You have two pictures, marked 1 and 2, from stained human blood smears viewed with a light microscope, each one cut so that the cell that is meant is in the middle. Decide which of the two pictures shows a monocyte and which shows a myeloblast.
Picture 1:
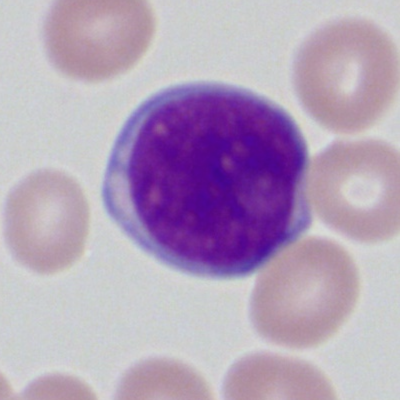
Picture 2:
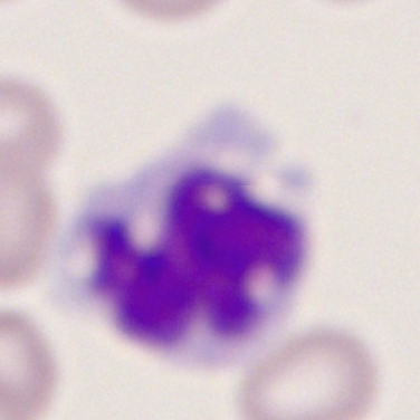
1: myeloblast
2: monocyte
